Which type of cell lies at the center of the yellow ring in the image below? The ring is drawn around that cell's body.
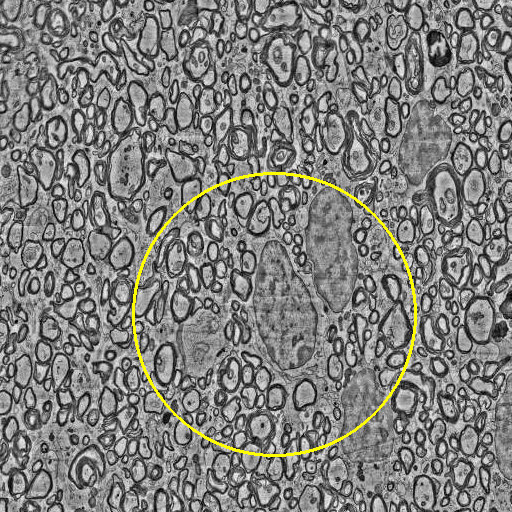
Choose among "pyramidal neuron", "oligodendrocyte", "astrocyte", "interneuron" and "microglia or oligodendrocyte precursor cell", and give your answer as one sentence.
The cell body at the center belongs to a microglial cell or oligodendrocyte precursor cell.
